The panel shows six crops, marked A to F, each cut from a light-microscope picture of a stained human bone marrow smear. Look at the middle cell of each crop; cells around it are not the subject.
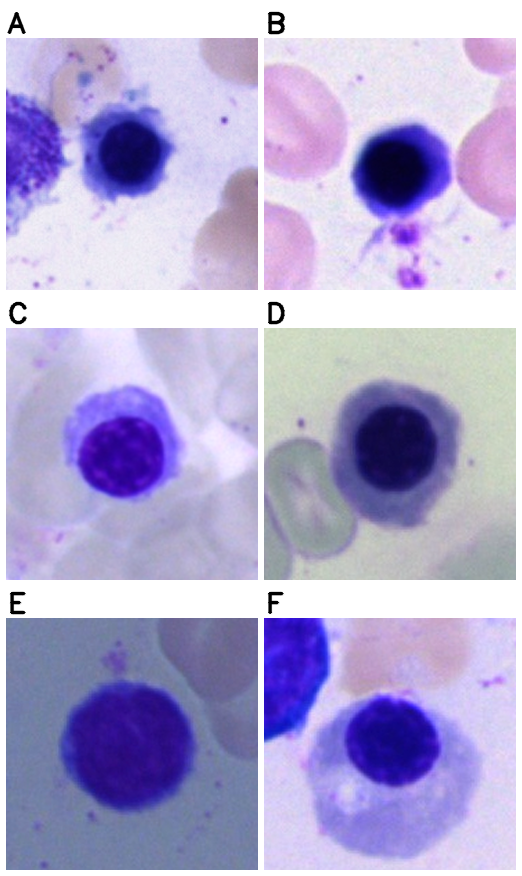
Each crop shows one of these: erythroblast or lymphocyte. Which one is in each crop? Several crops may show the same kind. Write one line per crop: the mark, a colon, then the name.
A: erythroblast
B: erythroblast
C: erythroblast
D: erythroblast
E: lymphocyte
F: erythroblast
